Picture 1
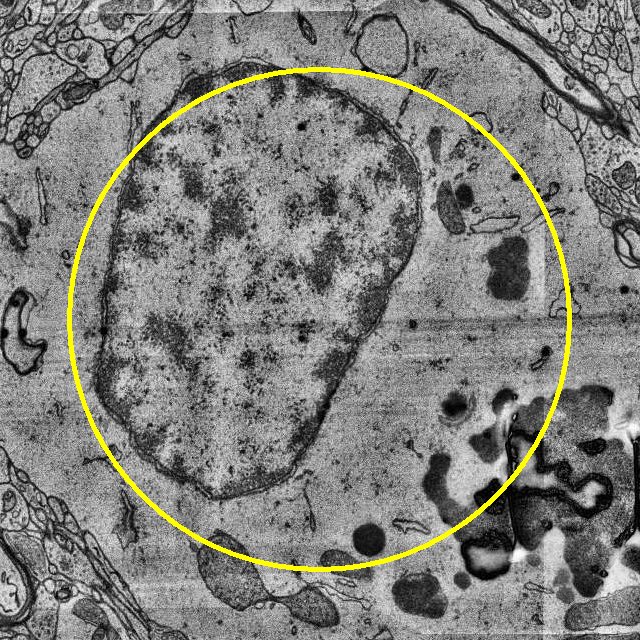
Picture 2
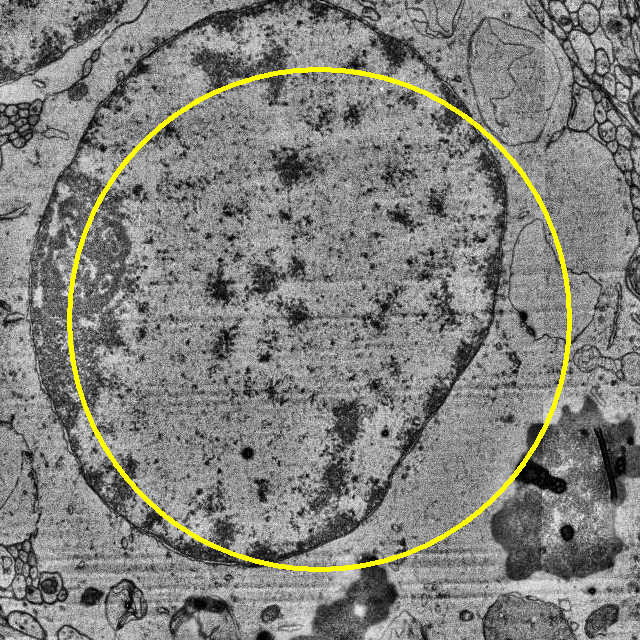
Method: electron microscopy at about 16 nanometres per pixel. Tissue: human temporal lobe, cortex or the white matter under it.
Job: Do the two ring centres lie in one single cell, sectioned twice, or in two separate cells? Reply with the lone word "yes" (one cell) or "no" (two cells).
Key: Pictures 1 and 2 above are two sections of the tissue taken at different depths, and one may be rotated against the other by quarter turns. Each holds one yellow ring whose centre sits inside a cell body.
yes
